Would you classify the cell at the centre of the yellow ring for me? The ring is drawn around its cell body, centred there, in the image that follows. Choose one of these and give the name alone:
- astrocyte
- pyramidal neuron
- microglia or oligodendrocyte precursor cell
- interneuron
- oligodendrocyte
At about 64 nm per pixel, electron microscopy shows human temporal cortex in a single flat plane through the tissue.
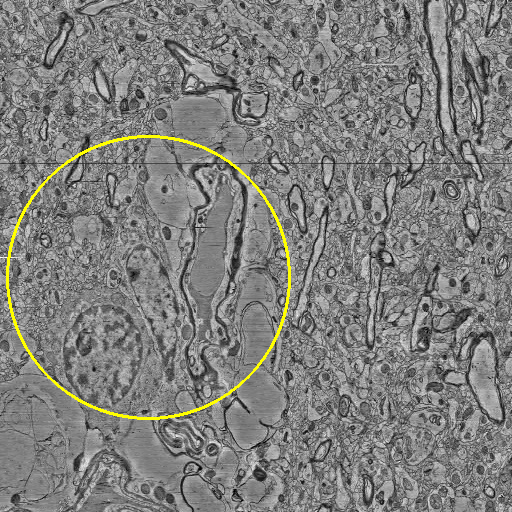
microglia or oligodendrocyte precursor cell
